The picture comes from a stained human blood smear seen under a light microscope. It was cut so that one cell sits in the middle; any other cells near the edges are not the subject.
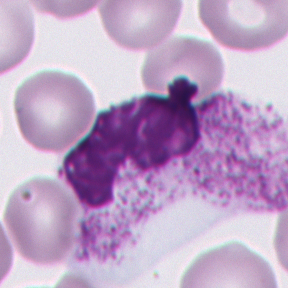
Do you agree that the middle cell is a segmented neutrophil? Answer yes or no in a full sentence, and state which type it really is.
Yes, the cell in the middle is a segmented neutrophil.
